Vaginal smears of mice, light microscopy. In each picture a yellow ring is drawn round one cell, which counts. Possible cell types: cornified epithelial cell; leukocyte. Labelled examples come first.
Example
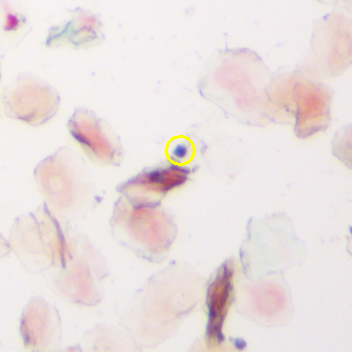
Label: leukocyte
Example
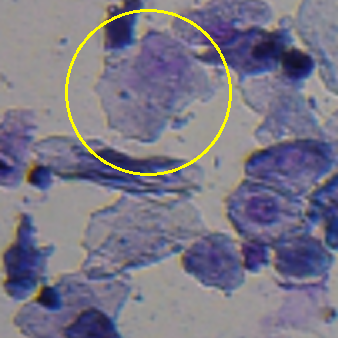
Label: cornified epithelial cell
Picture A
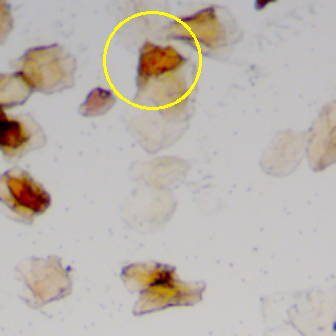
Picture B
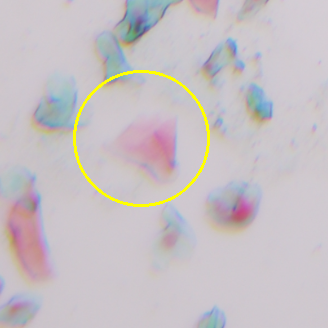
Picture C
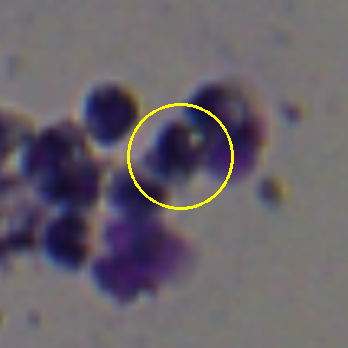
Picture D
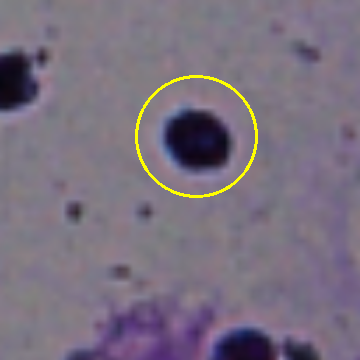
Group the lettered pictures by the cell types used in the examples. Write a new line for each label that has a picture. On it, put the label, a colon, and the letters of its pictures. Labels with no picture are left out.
cornified epithelial cell: A, B
leukocyte: C, D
